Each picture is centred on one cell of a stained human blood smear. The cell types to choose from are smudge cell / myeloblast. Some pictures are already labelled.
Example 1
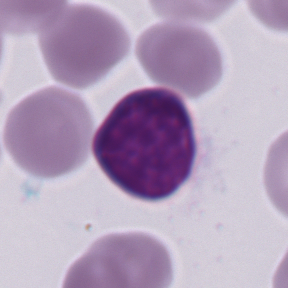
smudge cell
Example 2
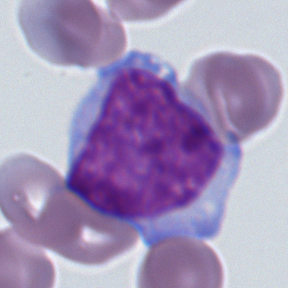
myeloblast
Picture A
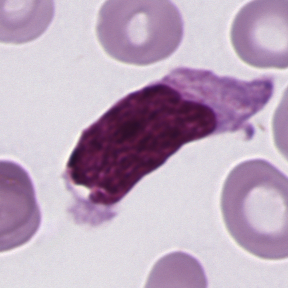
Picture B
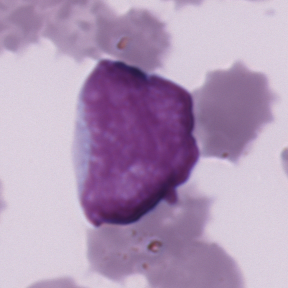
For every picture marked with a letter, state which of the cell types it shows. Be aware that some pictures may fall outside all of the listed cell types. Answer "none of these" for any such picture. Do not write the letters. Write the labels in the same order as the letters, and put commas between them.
none of these, myeloblast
